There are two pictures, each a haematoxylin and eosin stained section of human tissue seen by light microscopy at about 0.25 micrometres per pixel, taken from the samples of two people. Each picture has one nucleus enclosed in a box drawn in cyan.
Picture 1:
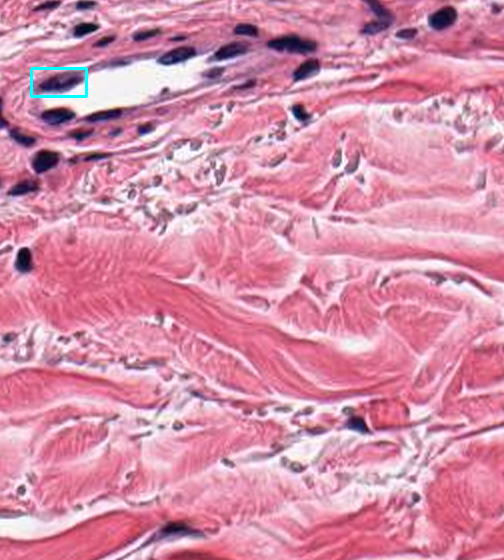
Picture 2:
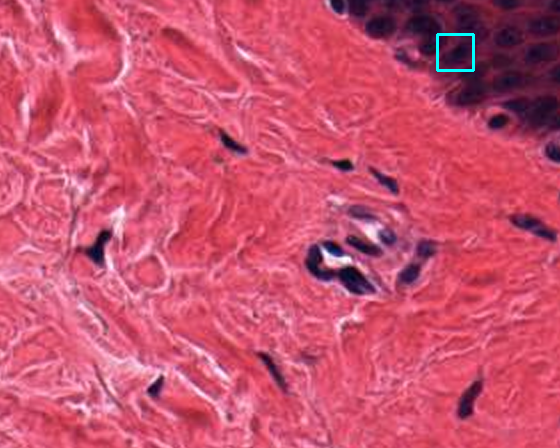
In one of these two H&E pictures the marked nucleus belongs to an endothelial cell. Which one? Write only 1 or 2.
1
